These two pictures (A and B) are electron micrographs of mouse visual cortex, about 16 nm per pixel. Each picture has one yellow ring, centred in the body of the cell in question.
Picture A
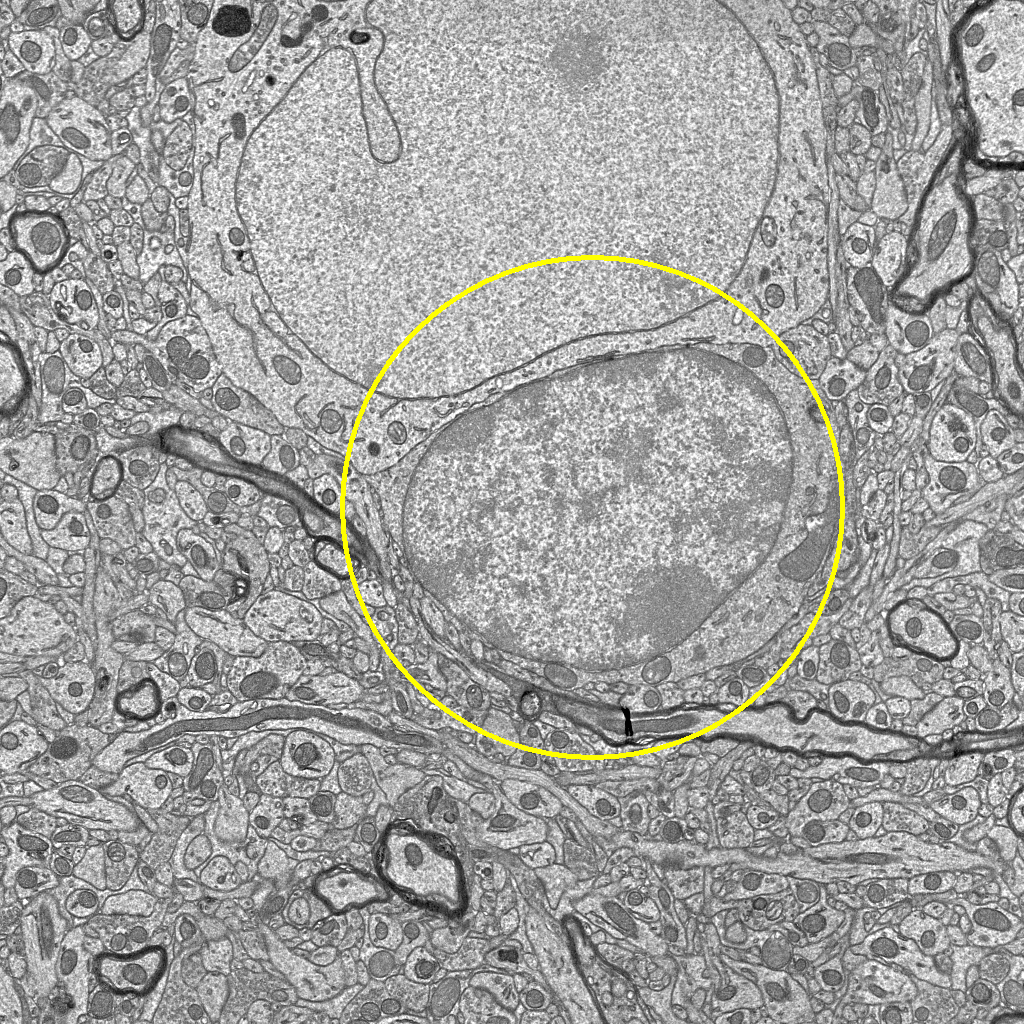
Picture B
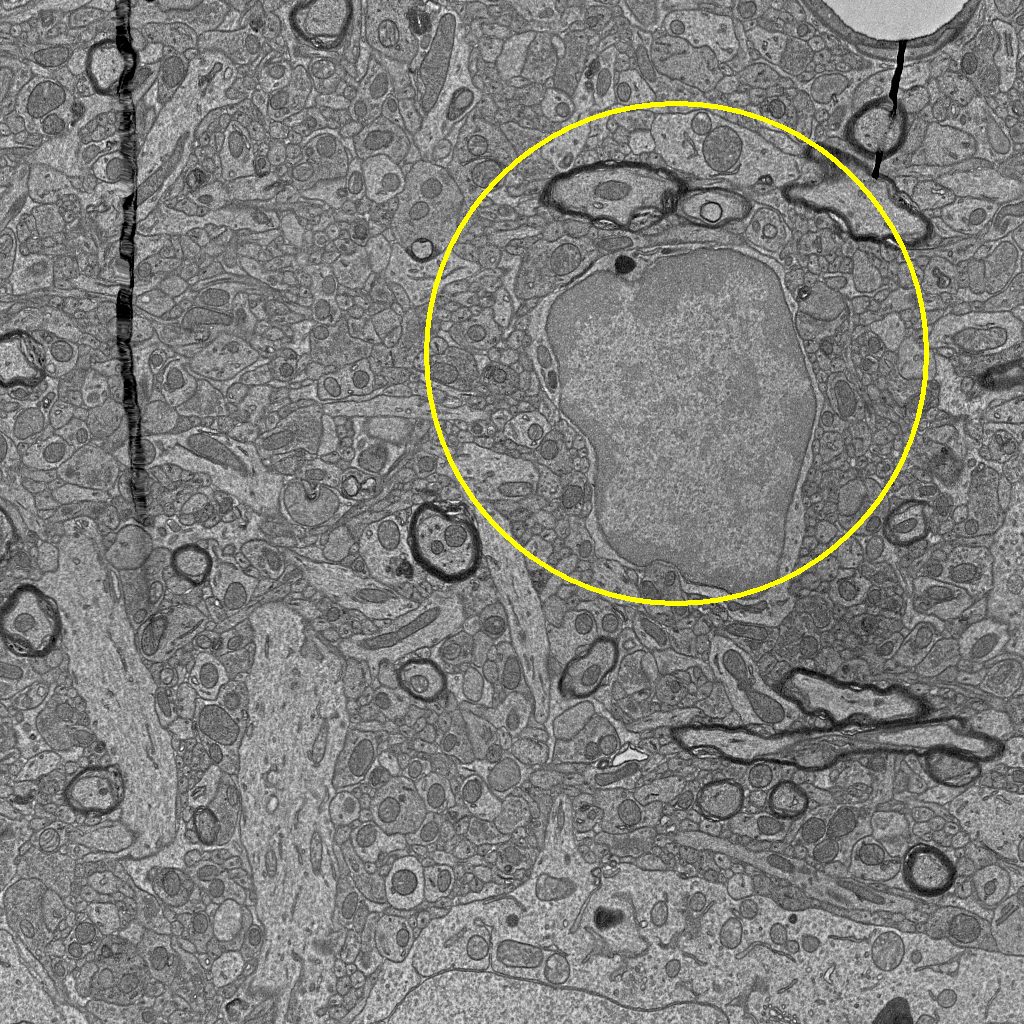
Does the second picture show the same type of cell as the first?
No, the types are not the same, since picture A shows an oligodendrocyte and picture B a microglial cell.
